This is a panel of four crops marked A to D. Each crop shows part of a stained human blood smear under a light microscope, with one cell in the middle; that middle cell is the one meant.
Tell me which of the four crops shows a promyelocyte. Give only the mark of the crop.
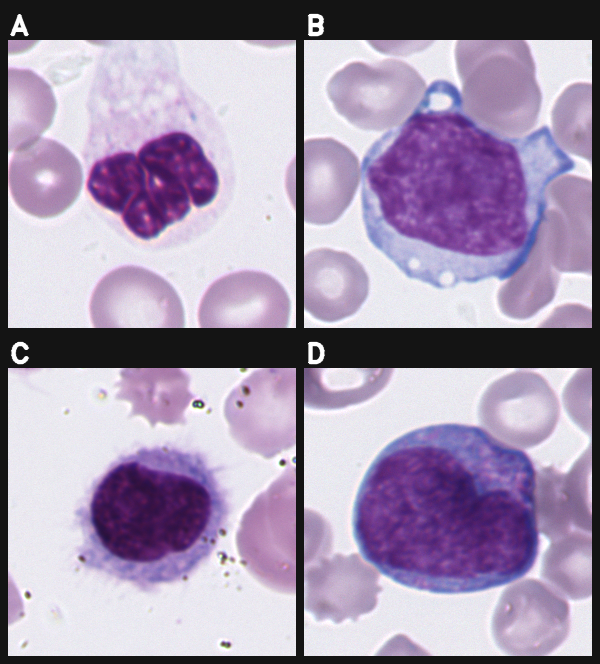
D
